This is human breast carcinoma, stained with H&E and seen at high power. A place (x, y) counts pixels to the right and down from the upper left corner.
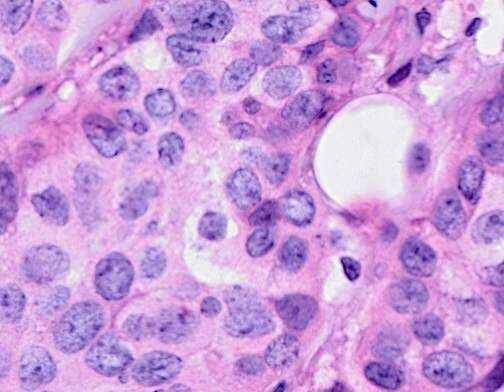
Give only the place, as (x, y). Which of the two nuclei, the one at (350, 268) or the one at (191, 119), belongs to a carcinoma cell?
(191, 119)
